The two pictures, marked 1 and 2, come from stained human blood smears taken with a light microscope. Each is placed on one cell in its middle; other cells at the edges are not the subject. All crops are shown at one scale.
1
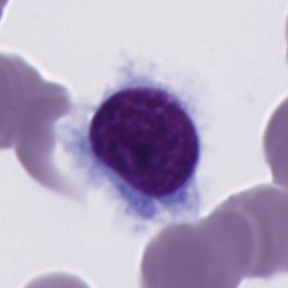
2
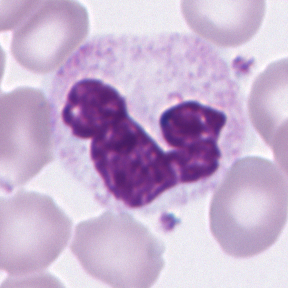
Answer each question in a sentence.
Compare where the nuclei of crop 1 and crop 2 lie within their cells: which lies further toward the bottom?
Seen within its cell, the nucleus in crop 2 lies further toward the bottom.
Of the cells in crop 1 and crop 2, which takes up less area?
The cell in crop 1 is smaller; the one in crop 2 has about 2 times its area.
